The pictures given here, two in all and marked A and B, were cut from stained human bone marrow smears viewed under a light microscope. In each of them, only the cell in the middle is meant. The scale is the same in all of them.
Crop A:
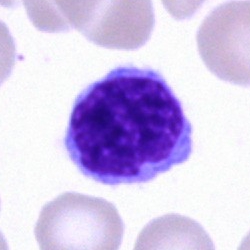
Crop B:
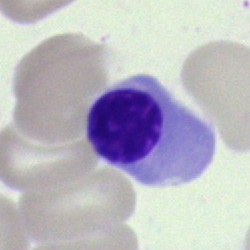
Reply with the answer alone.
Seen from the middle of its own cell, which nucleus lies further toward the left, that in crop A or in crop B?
B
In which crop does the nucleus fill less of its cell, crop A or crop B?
B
